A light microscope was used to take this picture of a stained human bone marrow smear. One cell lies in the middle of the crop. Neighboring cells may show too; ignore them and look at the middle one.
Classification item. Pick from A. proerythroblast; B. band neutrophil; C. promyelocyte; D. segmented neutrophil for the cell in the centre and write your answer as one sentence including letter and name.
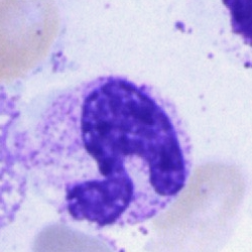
The middle of the crop contains a segmented neutrophil, so option D is right.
